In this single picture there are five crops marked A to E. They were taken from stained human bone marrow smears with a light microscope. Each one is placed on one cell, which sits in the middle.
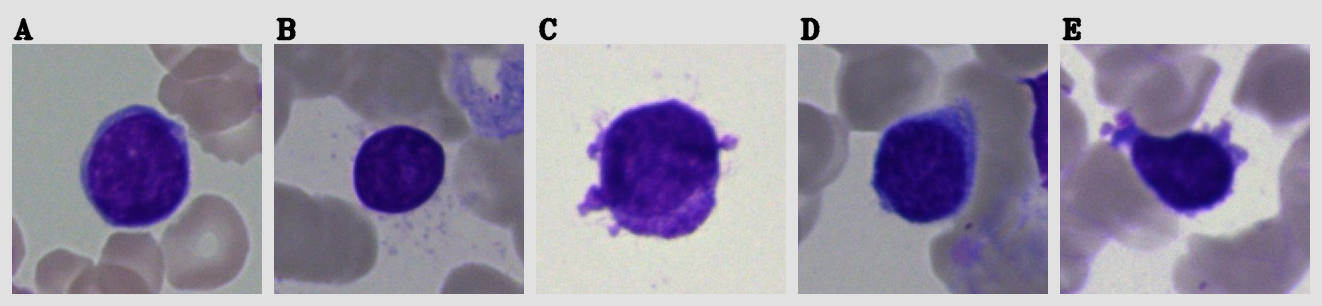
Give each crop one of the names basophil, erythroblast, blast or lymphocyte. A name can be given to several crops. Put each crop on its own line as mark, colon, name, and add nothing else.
A: lymphocyte
B: lymphocyte
C: blast
D: lymphocyte
E: lymphocyte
